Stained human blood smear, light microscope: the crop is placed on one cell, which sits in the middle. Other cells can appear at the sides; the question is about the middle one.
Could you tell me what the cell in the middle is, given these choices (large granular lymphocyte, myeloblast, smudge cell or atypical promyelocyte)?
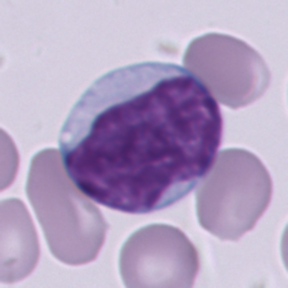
myeloblast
